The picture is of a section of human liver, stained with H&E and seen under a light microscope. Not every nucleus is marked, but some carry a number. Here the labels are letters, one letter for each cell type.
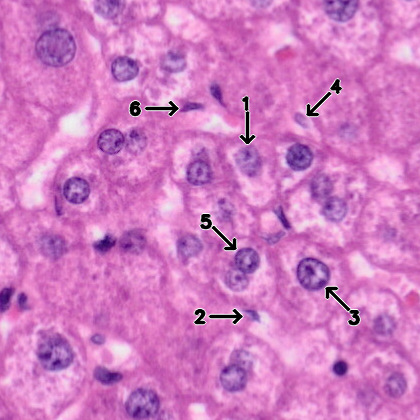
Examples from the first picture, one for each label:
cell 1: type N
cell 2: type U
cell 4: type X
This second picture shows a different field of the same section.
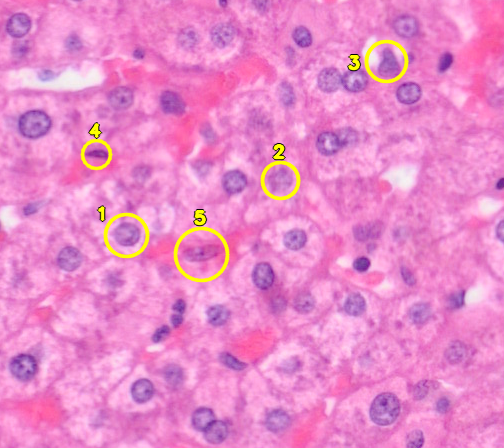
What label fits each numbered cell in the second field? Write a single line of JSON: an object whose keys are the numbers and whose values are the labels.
{"1": "type N", "2": "type N", "3": "type X", "4": "type U", "5": "type X"}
